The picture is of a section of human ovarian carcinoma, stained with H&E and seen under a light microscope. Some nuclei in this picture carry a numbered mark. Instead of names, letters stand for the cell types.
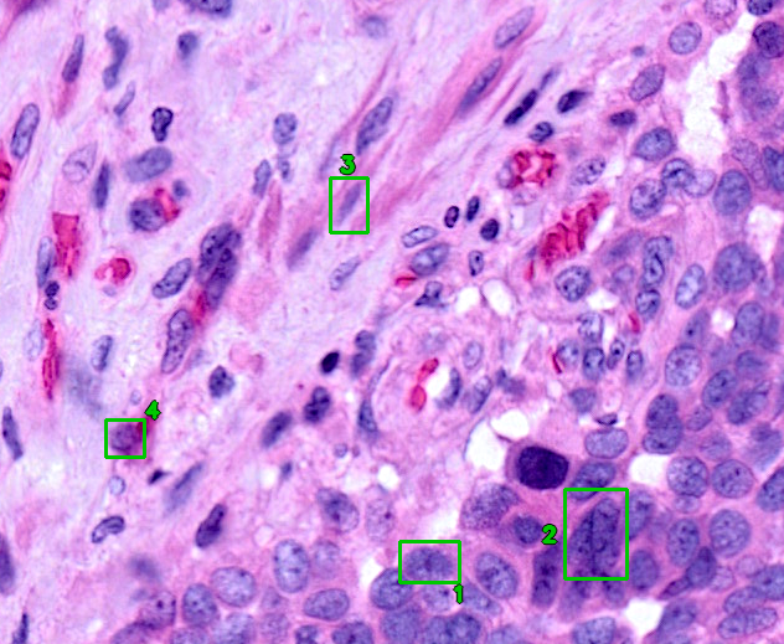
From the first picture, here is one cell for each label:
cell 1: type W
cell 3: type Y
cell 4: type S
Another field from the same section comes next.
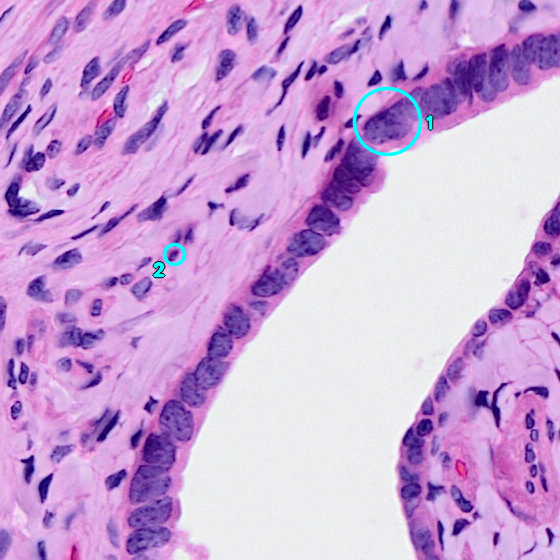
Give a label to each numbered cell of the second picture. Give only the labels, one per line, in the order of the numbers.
type W
type Y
